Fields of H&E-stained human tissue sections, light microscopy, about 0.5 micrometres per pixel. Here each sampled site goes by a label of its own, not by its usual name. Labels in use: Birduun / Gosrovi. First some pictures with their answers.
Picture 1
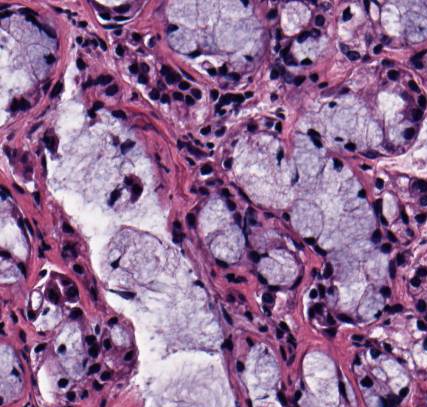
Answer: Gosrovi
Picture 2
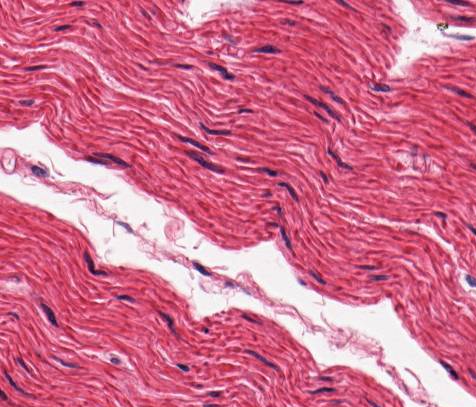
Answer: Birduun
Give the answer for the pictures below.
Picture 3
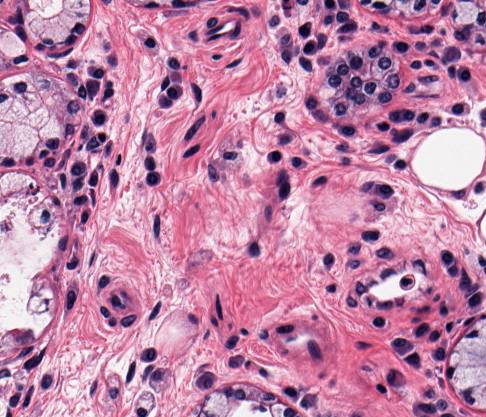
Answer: Gosrovi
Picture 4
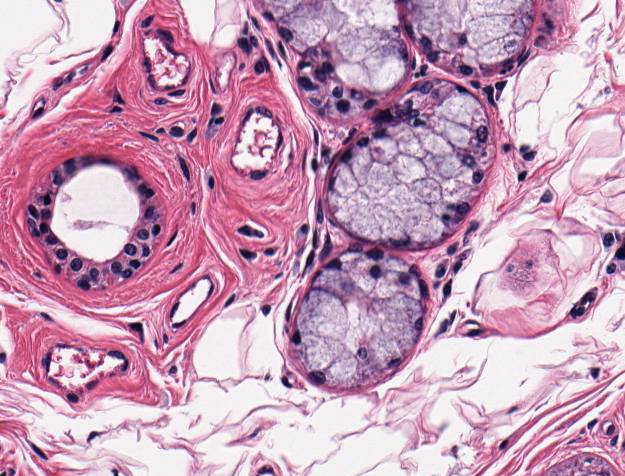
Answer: Gosrovi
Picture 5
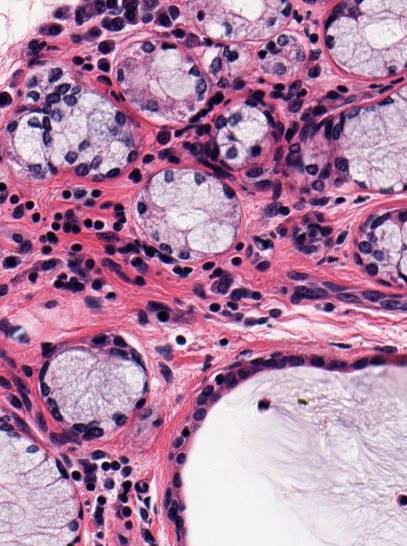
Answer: Gosrovi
